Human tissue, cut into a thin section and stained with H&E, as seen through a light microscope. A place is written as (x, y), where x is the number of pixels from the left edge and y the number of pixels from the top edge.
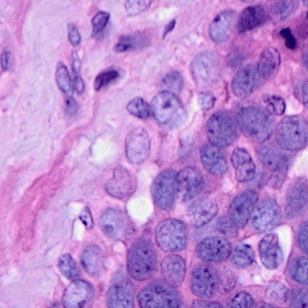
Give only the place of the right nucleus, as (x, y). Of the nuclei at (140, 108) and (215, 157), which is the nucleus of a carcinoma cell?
(215, 157)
